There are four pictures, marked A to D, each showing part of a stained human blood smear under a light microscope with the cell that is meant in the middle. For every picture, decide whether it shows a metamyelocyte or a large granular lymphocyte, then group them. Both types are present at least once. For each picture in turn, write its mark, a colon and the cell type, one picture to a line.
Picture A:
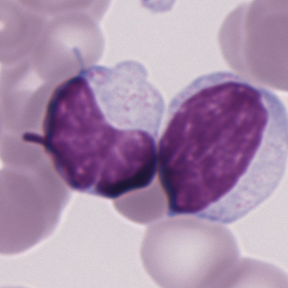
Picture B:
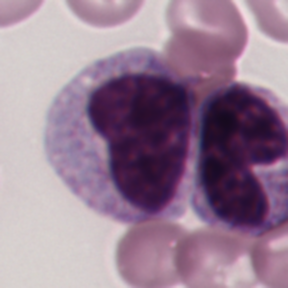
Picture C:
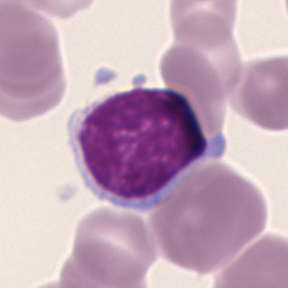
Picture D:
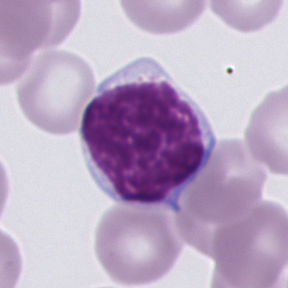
A: large granular lymphocyte
B: metamyelocyte
C: large granular lymphocyte
D: large granular lymphocyte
